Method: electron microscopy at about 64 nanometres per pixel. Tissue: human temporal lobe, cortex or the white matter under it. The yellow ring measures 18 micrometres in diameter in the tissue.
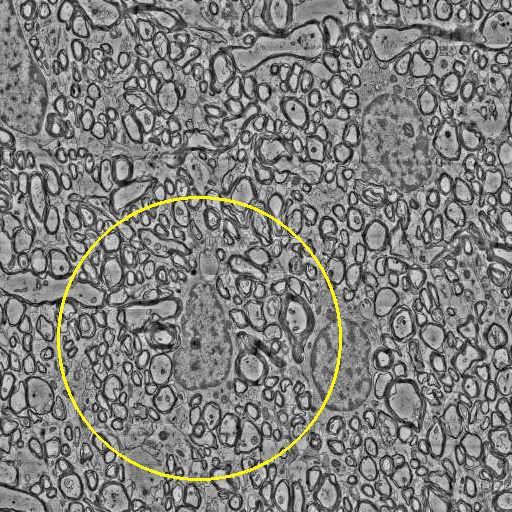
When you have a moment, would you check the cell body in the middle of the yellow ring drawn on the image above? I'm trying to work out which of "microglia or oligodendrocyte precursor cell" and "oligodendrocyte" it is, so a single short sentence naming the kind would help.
This cell body belongs to an oligodendrocyte.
